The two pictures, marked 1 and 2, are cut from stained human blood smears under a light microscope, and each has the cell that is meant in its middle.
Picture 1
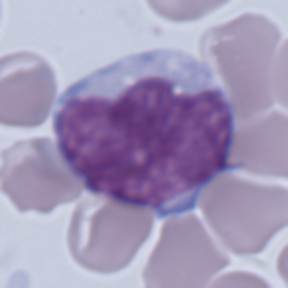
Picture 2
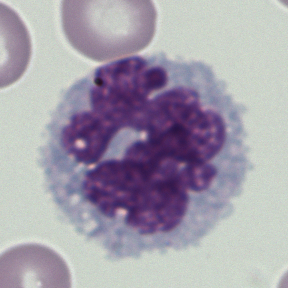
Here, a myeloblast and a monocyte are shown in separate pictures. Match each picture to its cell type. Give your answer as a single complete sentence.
The cell in picture 1 is a myeloblast, and the one in picture 2 is a monocyte.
